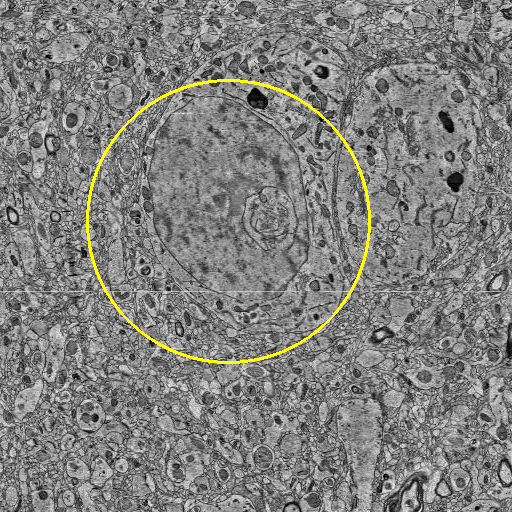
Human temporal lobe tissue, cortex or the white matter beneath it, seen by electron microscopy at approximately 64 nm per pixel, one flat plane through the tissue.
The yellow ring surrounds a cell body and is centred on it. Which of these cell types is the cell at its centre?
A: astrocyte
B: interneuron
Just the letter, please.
B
